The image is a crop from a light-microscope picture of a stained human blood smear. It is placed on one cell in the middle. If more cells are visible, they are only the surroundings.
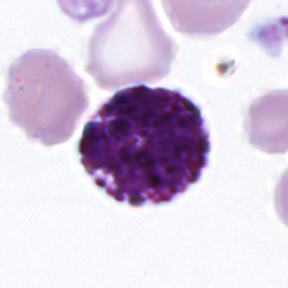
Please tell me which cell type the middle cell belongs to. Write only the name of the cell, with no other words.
basophil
